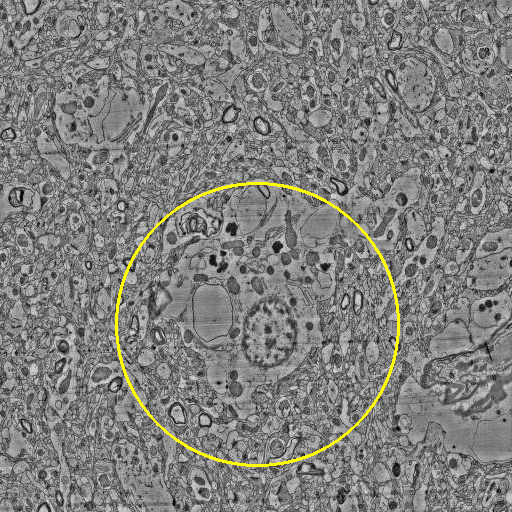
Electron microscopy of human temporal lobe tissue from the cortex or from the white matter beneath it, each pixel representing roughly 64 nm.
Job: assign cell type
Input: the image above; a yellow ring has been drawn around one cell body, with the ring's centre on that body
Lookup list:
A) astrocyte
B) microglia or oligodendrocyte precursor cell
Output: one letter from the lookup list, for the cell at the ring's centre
A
